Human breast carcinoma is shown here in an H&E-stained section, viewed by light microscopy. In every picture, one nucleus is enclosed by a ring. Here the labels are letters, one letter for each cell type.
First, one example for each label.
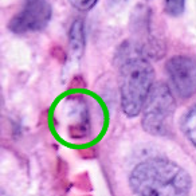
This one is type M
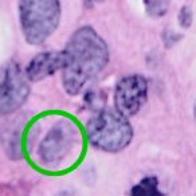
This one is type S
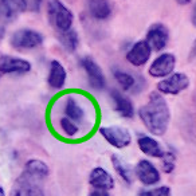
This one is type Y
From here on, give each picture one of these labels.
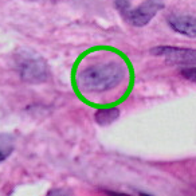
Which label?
type M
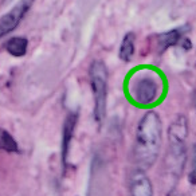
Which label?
type M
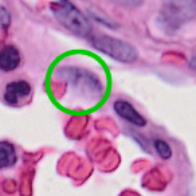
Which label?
type M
